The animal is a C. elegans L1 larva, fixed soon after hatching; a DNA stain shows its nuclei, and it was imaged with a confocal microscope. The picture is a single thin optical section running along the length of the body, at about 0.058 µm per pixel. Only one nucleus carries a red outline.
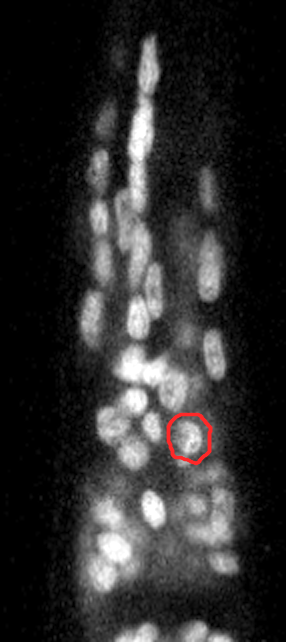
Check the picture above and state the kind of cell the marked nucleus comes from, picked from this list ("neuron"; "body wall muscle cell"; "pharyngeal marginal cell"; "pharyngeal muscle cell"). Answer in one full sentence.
The nucleus comes from a pharyngeal muscle cell.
